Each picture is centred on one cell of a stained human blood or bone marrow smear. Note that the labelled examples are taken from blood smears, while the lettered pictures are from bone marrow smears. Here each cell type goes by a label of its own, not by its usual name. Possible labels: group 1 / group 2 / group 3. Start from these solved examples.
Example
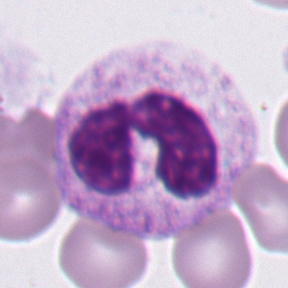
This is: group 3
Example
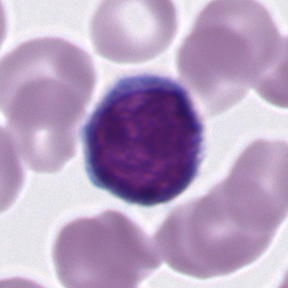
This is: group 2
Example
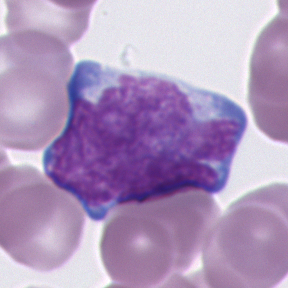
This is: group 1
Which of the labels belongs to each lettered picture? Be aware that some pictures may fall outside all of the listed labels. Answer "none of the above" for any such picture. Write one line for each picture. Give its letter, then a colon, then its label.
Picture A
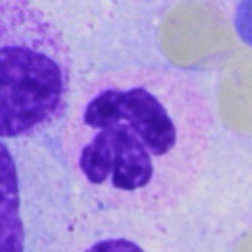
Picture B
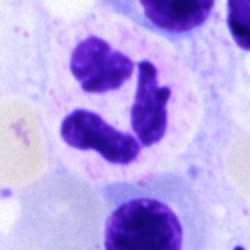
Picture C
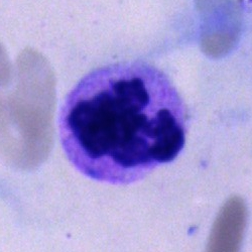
A: group 3
B: group 3
C: group 3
